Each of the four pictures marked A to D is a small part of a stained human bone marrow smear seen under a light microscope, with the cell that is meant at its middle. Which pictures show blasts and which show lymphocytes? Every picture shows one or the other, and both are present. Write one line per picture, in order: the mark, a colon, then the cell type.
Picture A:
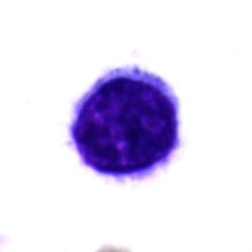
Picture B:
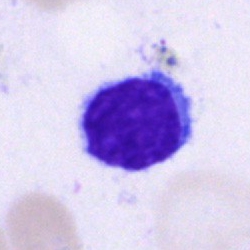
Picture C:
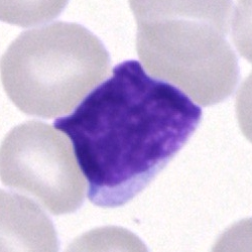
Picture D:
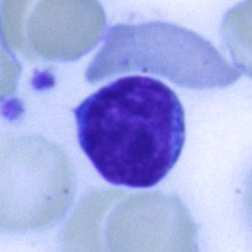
A: lymphocyte
B: lymphocyte
C: blast
D: lymphocyte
